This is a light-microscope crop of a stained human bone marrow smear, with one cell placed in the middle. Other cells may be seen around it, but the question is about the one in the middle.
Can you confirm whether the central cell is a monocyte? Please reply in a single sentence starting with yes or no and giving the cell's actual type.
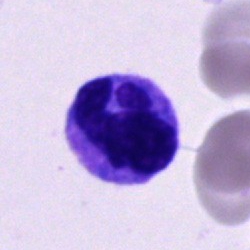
Yes, the cell right in the middle is a monocyte.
